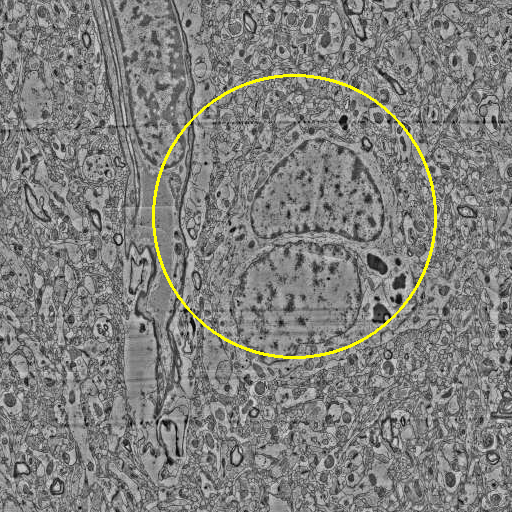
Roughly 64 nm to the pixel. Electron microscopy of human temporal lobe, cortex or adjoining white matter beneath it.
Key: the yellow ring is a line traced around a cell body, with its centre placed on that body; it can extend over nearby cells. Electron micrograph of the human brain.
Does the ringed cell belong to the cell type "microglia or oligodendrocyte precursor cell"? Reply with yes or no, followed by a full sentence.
Yes, the cell at the centre of the yellow ring in the picture is of that type.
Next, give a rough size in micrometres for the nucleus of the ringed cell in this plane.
In this plane, the nucleus of the cell at the centre of the ring measures about 9 by 7 micrometres.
